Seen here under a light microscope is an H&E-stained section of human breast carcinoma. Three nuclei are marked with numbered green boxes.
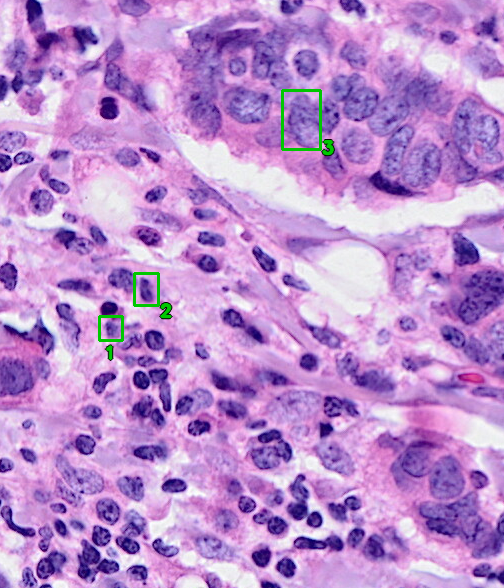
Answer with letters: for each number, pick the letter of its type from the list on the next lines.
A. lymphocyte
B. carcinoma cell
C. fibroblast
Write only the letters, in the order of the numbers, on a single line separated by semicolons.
A; A; B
